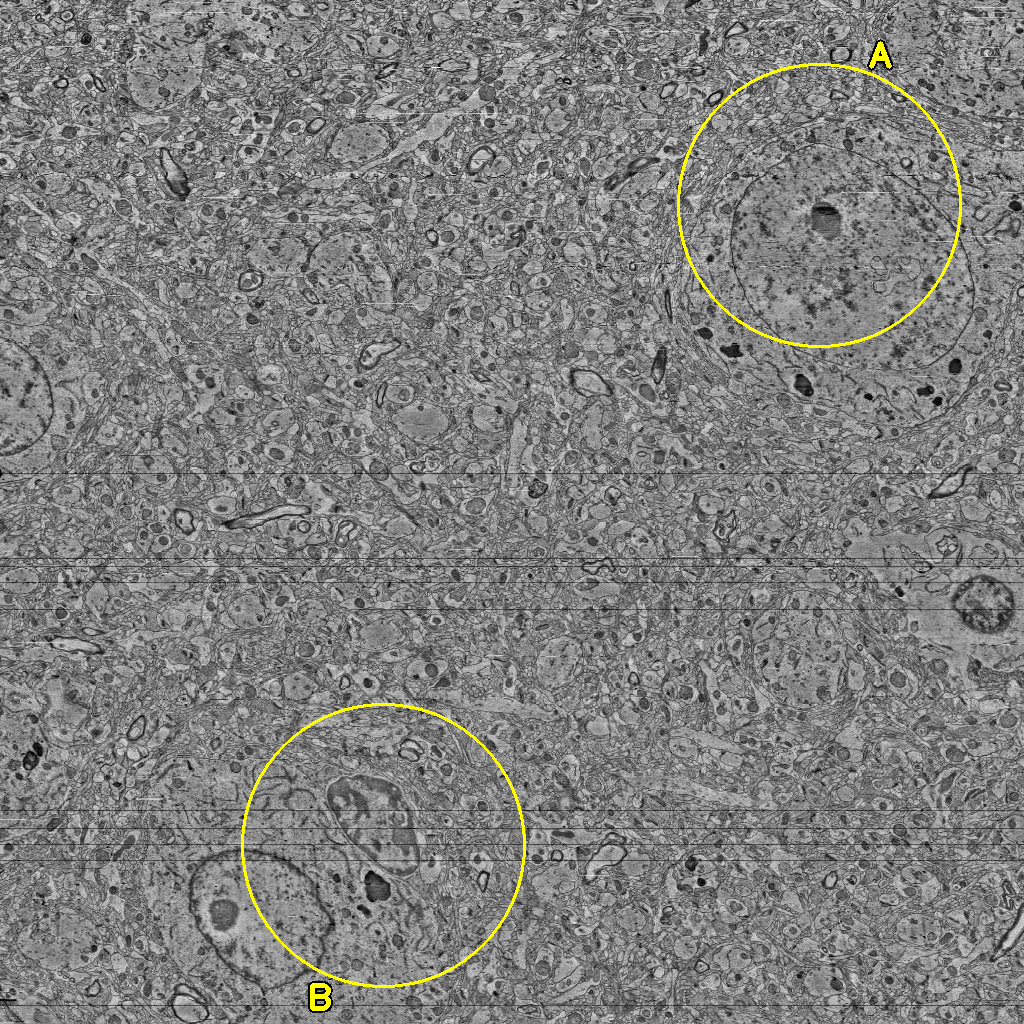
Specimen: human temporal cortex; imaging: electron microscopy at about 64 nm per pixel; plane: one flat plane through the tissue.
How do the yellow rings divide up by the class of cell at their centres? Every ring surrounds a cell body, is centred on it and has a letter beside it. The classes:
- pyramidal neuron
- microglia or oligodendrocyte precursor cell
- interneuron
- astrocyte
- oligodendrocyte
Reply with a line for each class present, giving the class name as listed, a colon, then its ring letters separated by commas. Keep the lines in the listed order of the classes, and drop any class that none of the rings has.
pyramidal neuron: A
microglia or oligodendrocyte precursor cell: B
